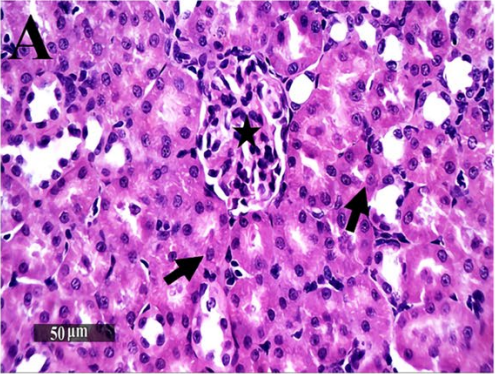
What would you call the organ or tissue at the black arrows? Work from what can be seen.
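Tubular epithelium lining. The arrows point to the cuboidal cells lining a tubule. The lining cells have pink cytoplasm and round nuclei and enclose a small lumen.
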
